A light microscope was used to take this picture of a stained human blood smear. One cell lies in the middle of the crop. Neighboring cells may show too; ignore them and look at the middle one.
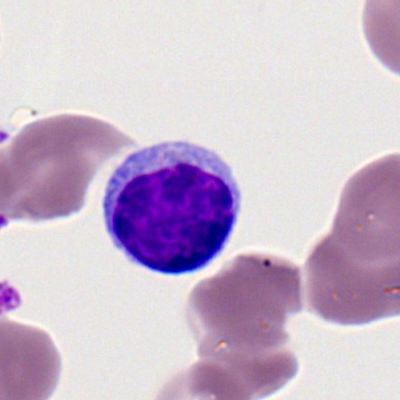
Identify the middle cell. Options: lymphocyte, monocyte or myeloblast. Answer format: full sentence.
The cell nearest the centre of this crop is a lymphocyte.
